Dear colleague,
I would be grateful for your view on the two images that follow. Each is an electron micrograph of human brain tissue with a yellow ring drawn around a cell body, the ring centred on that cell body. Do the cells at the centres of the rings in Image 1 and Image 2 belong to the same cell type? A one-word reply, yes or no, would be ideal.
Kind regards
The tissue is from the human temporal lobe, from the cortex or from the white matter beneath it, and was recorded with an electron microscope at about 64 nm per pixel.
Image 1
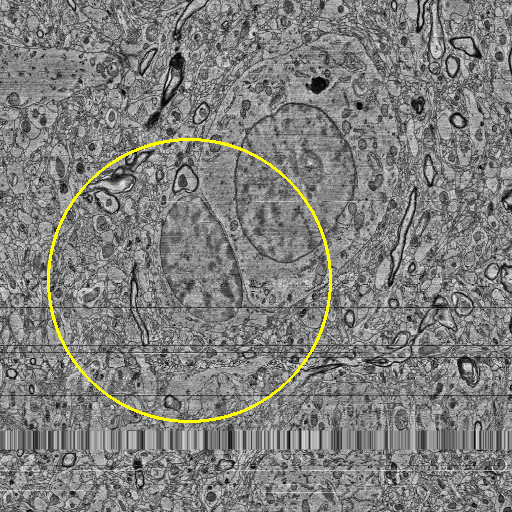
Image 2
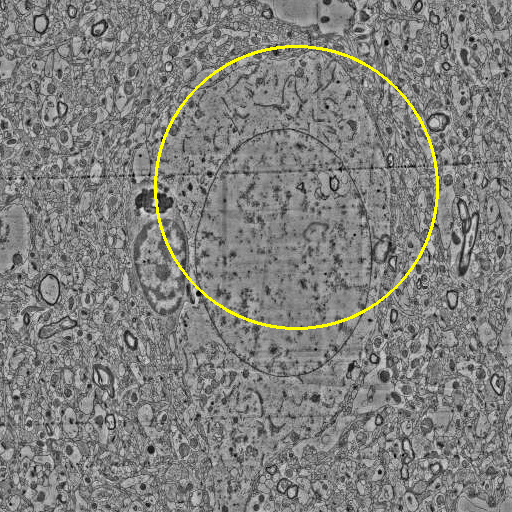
no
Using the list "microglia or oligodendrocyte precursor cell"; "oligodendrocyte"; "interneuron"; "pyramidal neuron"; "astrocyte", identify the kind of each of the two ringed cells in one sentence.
The first is an oligodendrocyte and the second is a pyramidal neuron.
